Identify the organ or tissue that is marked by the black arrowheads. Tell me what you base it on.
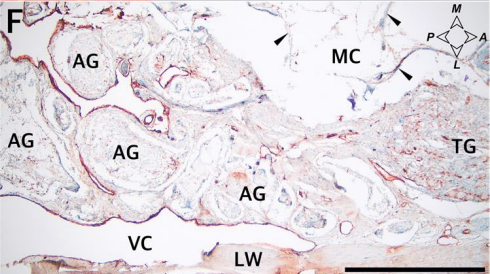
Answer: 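The arrowheads point at very thin, wispy membranes crossing an empty space. The membranes are fragmentary and discontinuous.
Hence: remnants of the arachnoid mater.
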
